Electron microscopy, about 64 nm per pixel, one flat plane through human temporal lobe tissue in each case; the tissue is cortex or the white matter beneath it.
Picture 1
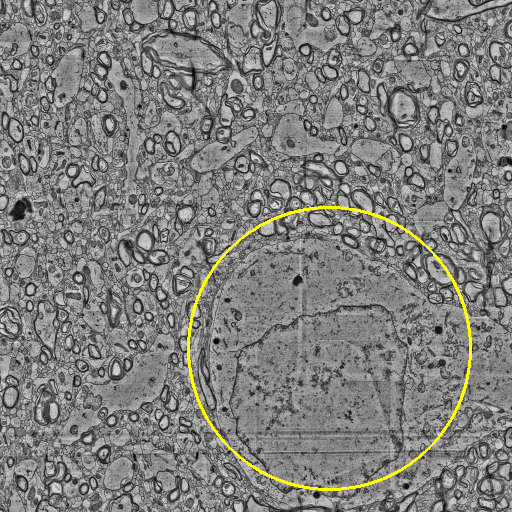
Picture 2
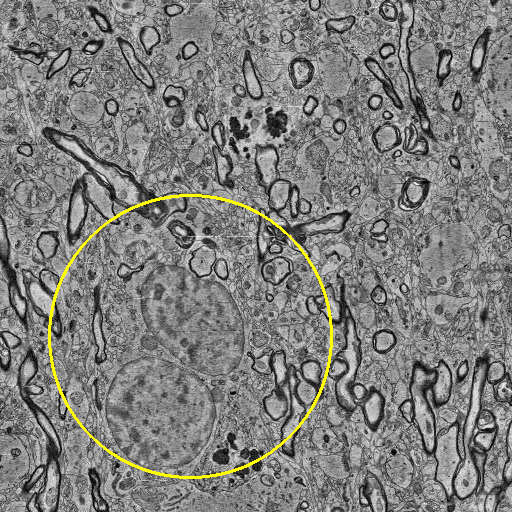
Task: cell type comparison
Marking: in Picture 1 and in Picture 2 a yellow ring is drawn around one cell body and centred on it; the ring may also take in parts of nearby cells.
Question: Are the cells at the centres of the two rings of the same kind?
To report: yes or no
no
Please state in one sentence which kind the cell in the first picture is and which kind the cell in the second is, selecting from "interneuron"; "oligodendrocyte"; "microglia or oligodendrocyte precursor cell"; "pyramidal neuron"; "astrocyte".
The first ringed cell is a pyramidal neuron, the second ringed cell an oligodendrocyte.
